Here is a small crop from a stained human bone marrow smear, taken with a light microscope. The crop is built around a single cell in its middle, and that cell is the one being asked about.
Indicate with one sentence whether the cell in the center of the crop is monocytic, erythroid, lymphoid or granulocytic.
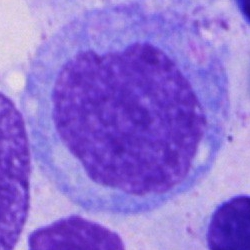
The cell sitting in the middle of this crop is of the monocytic line.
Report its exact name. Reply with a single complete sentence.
In the centre of this crop there is a monocyte.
